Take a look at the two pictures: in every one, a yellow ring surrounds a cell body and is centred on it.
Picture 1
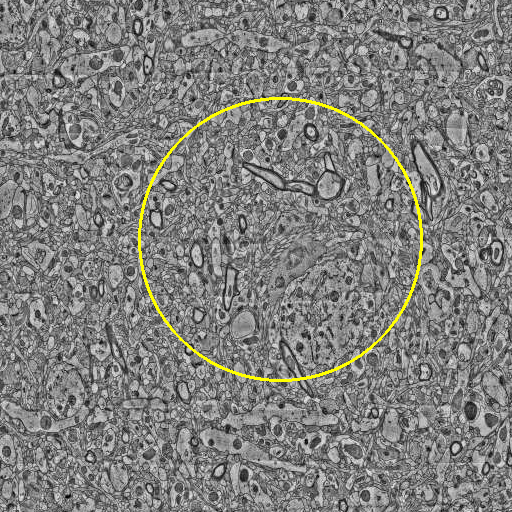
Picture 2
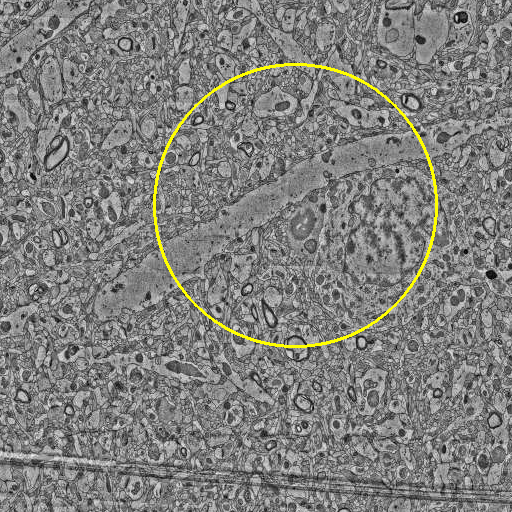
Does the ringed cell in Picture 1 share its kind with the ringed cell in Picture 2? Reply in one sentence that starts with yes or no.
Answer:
Yes, the two centred cells, one per picture, are of one kind.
